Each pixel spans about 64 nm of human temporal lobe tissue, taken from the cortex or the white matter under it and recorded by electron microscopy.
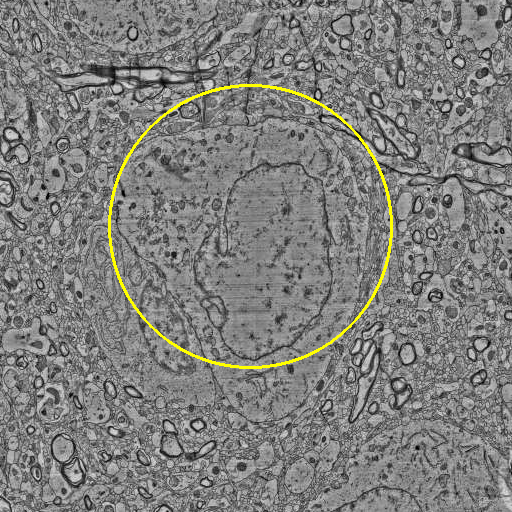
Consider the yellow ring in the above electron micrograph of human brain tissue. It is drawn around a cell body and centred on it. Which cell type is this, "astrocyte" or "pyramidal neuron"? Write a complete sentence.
The cell in question is a pyramidal neuron.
